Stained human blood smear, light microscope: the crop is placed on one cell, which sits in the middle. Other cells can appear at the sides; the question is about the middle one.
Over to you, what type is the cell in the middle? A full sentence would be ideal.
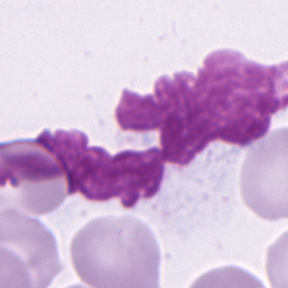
Framed in the middle of the crop is a smudge cell.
